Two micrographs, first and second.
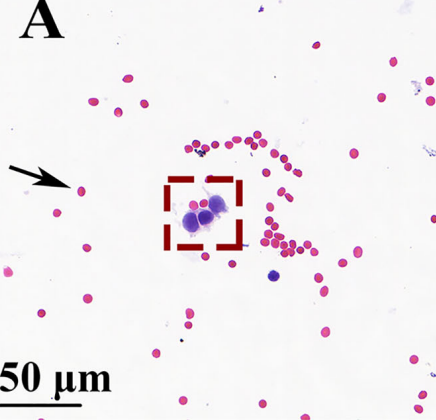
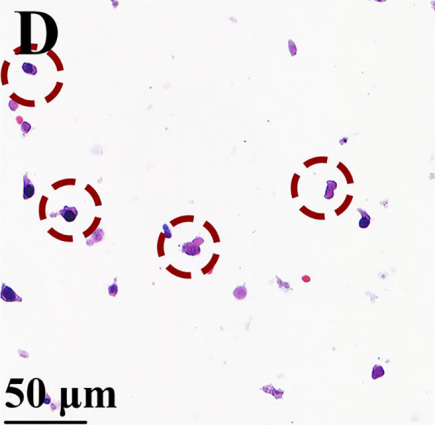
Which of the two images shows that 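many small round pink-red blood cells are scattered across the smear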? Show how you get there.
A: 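Second image: only a few small pink-red cells are present among pale irregular cells. First image: dozens of small round pink-red cells are spread over the whole field.
The first image.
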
